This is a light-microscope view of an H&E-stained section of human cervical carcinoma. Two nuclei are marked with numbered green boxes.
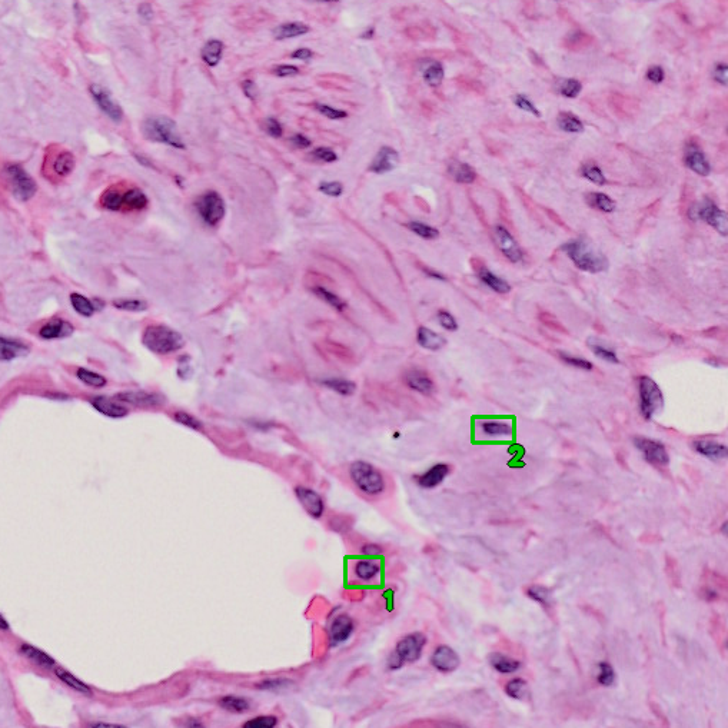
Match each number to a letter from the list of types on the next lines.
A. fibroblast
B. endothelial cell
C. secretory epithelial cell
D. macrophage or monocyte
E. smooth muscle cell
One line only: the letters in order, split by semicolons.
B; A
